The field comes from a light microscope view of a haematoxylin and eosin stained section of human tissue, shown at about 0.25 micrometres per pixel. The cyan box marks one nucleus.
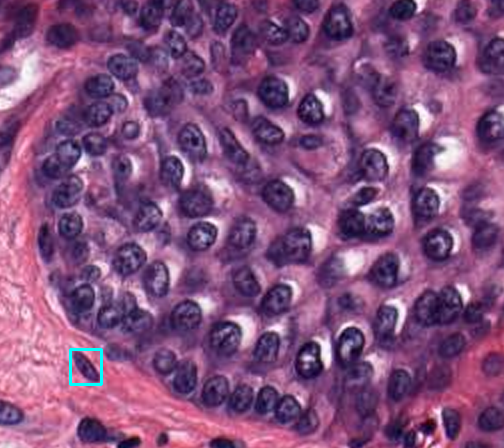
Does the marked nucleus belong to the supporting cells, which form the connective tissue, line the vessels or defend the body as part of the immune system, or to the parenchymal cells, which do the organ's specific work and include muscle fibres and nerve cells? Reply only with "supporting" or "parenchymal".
supporting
